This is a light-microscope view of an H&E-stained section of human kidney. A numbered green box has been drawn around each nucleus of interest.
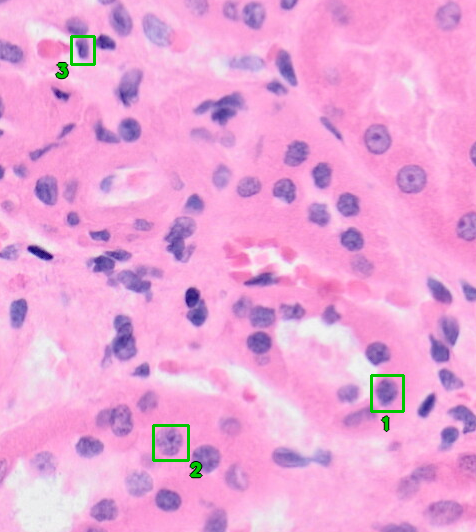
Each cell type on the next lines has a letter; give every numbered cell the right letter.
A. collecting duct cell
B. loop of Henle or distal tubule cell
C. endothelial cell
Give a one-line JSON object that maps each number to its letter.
{"1": "B", "2": "B", "3": "C"}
